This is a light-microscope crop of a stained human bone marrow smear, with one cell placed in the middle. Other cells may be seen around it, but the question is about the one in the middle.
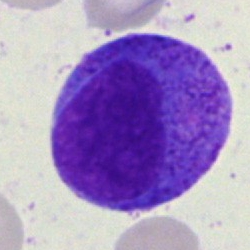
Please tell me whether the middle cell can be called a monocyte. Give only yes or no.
no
